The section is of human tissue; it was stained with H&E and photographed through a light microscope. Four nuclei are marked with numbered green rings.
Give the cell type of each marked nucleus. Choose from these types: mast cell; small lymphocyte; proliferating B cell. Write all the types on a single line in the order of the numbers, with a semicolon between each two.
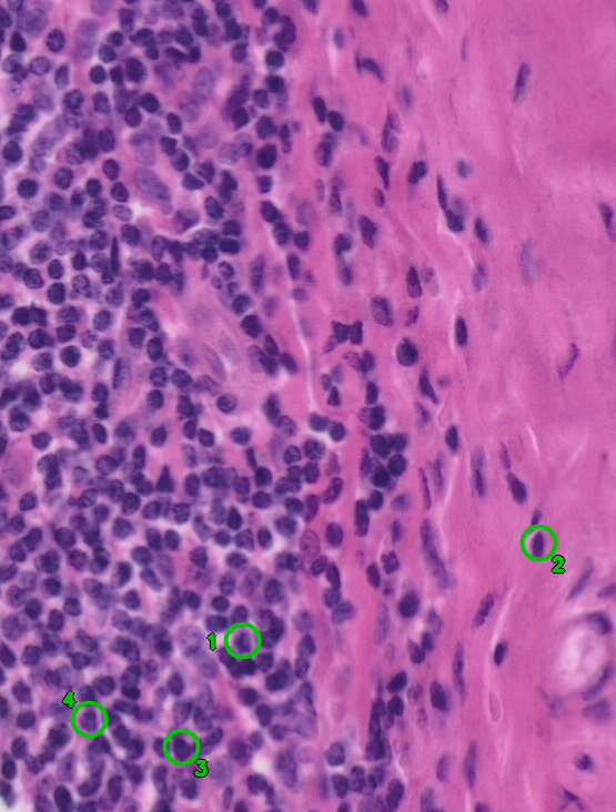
small lymphocyte; mast cell; small lymphocyte; small lymphocyte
